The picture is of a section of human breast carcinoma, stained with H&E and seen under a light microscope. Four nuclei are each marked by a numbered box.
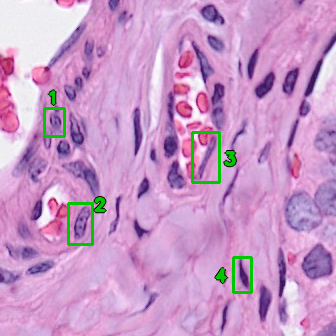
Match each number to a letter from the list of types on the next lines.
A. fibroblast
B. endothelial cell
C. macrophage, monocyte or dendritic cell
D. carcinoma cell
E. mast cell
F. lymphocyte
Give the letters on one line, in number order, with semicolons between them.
B; B; B; A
